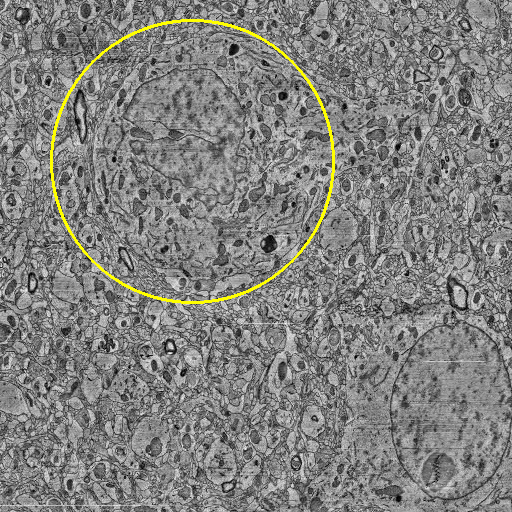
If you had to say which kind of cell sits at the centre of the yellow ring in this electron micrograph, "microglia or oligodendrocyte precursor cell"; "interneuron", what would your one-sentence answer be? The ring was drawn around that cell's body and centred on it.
The cell sitting at the centre of the ring is an interneuron.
